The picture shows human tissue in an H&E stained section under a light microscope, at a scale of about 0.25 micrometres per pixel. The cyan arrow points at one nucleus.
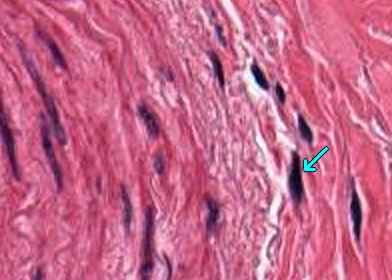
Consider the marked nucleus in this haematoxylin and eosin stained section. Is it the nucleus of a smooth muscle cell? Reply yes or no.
no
